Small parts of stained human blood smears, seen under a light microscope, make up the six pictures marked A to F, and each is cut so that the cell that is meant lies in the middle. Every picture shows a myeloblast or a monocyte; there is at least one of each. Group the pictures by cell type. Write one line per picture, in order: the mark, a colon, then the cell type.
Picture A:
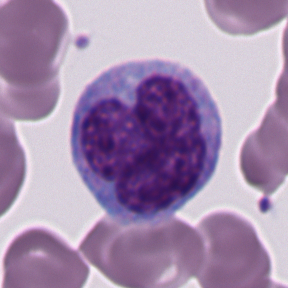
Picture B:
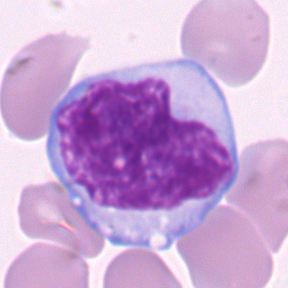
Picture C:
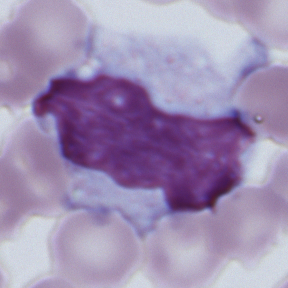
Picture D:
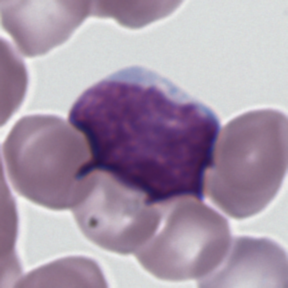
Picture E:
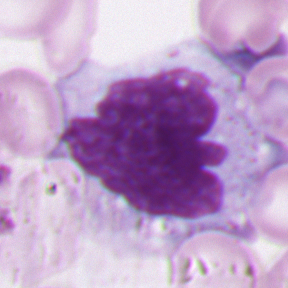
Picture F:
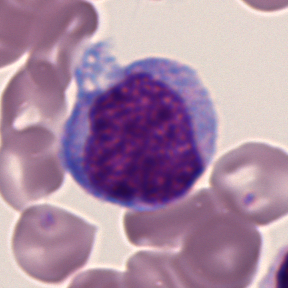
A: monocyte
B: myeloblast
C: monocyte
D: myeloblast
E: monocyte
F: monocyte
